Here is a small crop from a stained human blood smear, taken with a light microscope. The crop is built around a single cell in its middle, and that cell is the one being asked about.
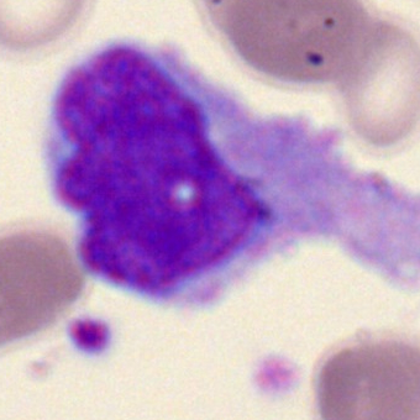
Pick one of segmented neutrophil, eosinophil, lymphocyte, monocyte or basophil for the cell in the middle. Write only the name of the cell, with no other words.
monocyte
